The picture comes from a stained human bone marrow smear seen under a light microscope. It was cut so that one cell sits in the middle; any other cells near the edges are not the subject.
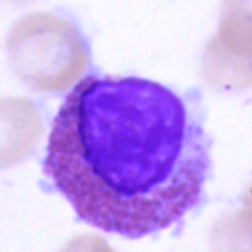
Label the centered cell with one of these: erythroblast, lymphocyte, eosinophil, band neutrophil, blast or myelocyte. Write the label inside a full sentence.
In the central position of this crop, the cell is an eosinophil.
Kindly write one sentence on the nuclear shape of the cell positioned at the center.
Its nucleus is compact and single, with a round, oval or kidney-shaped form.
